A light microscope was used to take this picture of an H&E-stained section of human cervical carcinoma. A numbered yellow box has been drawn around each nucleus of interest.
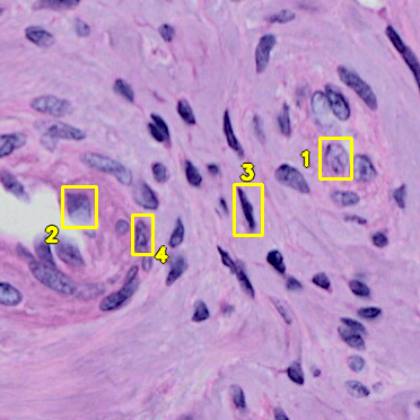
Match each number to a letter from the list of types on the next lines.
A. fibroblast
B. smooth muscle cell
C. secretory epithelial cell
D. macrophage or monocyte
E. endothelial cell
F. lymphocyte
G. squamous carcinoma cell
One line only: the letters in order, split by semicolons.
E; E; A; B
